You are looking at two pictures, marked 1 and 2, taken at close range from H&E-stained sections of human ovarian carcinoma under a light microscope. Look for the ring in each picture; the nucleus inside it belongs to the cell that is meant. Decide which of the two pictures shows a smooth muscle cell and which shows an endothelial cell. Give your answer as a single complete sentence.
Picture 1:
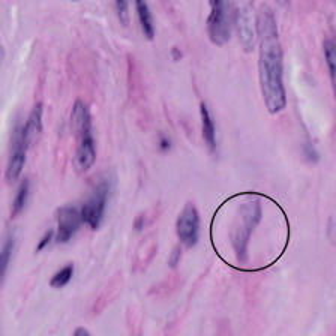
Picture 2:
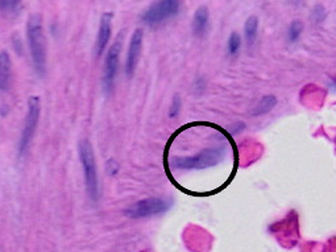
Picture 1 is of a smooth muscle cell, and picture 2 is of an endothelial cell.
